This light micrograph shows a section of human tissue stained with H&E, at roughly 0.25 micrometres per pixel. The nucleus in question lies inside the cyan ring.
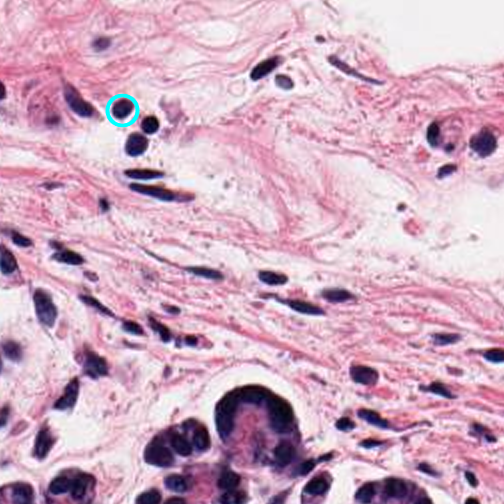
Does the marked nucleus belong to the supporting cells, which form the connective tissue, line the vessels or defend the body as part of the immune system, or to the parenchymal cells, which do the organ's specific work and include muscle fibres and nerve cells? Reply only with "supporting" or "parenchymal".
supporting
